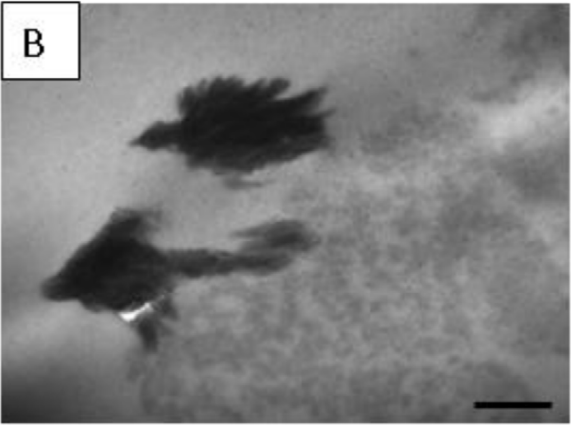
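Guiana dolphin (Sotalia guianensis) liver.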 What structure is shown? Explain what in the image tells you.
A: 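The masses are much darker than the surrounding material.
Hence: stick-like shaped electron-dense deposits.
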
